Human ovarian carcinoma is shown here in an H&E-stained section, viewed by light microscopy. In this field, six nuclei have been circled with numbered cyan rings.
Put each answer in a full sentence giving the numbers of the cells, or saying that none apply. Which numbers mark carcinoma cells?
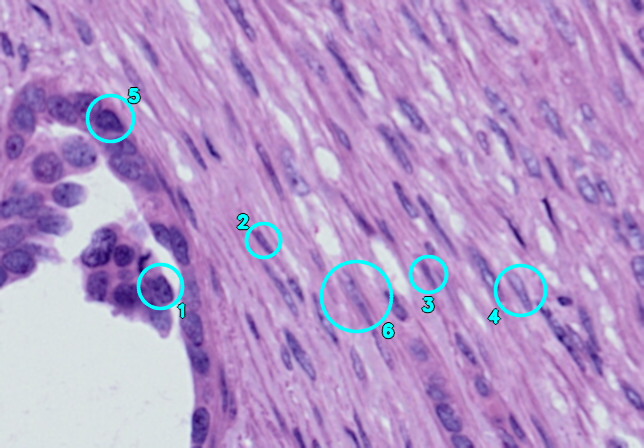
The numbers 1 and 5 mark cells that are carcinoma cells.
